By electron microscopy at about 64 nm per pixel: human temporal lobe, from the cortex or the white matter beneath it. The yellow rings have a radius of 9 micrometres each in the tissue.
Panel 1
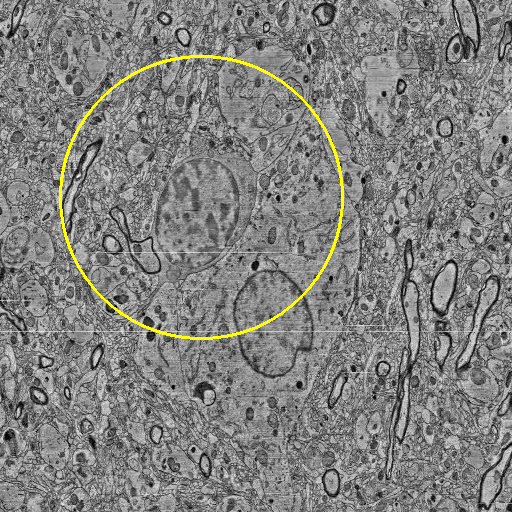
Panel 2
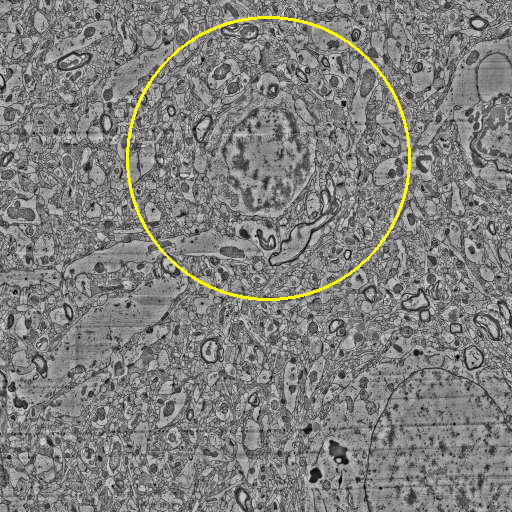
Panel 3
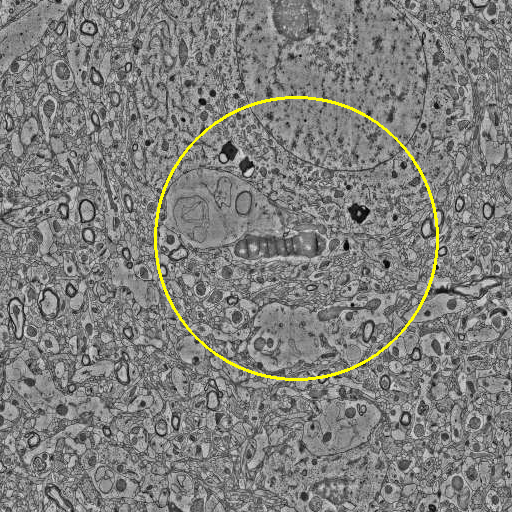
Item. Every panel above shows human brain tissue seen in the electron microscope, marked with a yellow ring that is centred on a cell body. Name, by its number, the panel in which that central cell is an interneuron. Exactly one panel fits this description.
2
